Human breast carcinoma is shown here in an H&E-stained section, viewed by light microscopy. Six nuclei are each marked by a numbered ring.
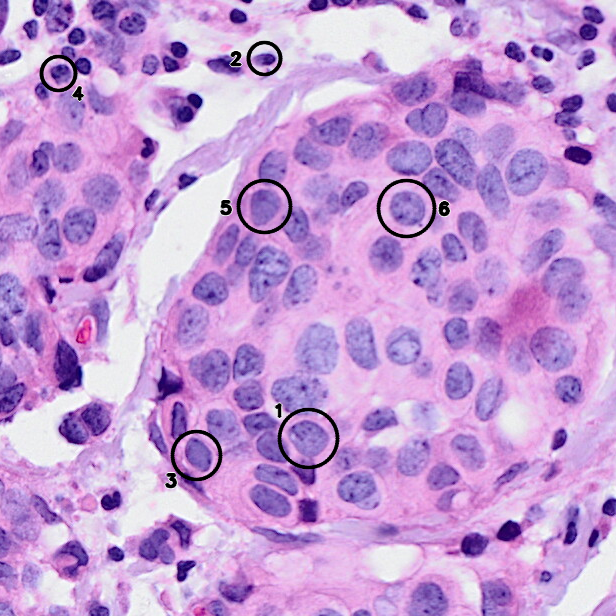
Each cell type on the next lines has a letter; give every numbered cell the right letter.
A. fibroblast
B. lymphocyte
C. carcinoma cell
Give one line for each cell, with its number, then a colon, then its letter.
1: C
2: B
3: C
4: B
5: C
6: C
